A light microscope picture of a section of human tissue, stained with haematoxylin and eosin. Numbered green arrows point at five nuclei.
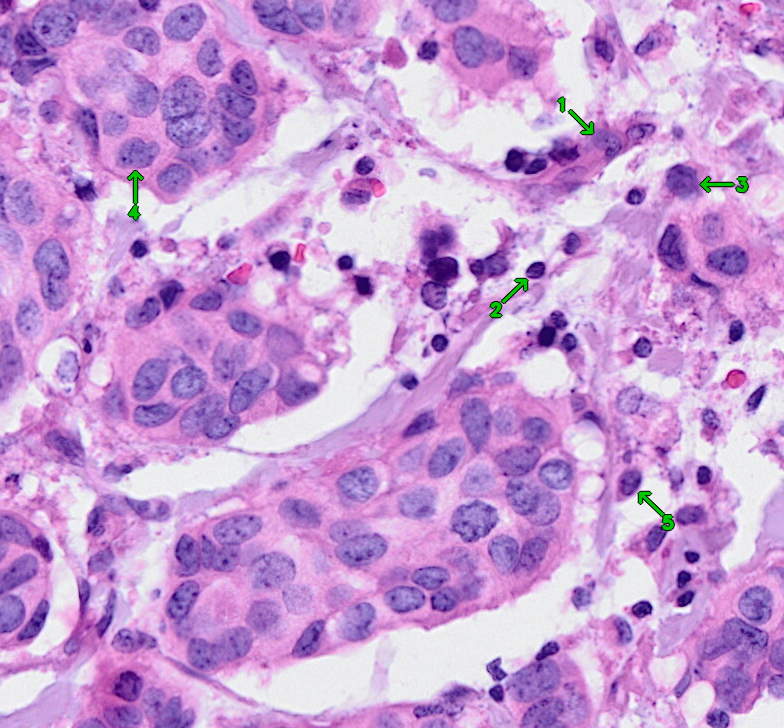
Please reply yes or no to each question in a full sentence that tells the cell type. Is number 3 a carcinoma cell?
Yes, the cell denoted by 3 is a carcinoma cell.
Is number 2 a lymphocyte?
Yes, in this tissue section, number 2 is a lymphocyte.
